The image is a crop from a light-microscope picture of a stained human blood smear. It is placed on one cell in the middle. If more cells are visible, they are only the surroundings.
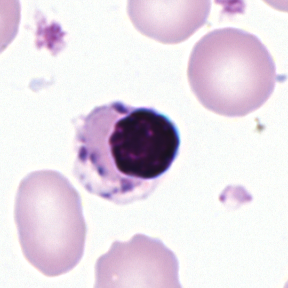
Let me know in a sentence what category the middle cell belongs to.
Seen at the centre of the crop is a normoblast.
